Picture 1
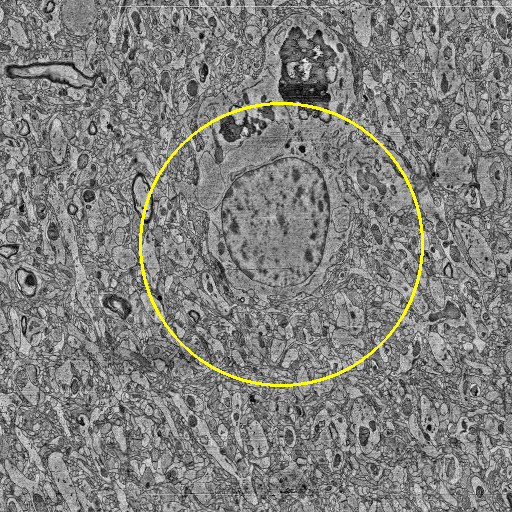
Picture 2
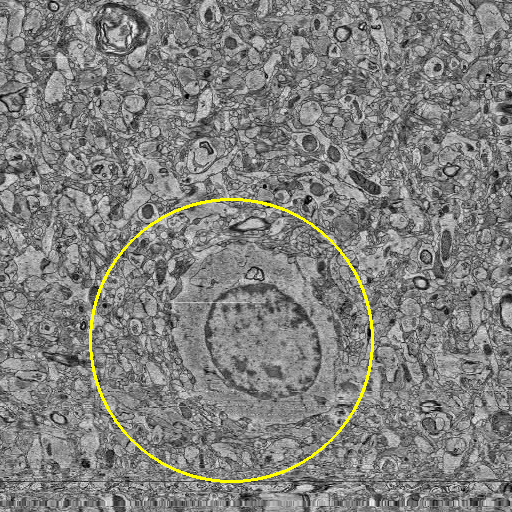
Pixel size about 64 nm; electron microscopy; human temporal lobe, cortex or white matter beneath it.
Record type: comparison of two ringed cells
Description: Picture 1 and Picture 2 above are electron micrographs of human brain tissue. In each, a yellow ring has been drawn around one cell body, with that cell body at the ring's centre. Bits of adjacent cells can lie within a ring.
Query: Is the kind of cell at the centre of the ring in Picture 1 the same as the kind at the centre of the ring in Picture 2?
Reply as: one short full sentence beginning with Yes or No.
Yes, the two ringed cells are of the same kind.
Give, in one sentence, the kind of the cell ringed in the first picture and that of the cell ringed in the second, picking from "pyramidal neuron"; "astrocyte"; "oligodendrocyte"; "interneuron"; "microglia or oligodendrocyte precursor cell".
The cell in the first picture is an astrocyte, and so is the one in the second.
